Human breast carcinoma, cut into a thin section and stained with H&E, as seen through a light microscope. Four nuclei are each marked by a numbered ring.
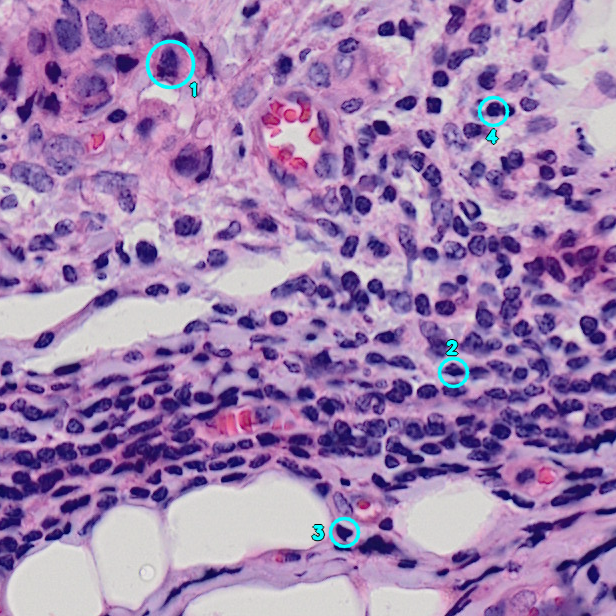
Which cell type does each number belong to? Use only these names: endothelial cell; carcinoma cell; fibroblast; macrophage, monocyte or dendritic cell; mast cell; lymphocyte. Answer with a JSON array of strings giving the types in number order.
["carcinoma cell", "lymphocyte", "lymphocyte", "lymphocyte"]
